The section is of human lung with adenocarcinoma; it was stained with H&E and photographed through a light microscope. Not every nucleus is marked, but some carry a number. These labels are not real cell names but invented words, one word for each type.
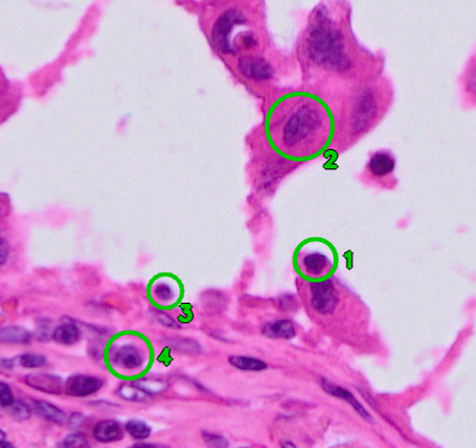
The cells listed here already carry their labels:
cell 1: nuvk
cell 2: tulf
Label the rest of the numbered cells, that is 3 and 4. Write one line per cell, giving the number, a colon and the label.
3: nuvk
4: nuvk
